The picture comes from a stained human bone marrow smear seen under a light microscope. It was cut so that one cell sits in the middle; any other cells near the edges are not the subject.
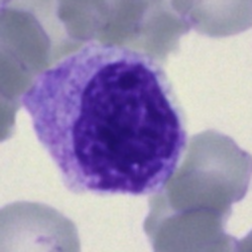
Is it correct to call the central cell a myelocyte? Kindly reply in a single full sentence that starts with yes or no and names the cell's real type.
Yes, the middle cell here is a myelocyte.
